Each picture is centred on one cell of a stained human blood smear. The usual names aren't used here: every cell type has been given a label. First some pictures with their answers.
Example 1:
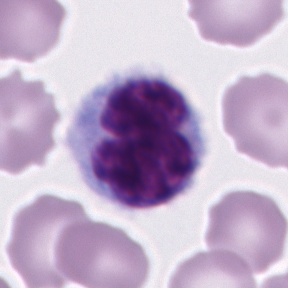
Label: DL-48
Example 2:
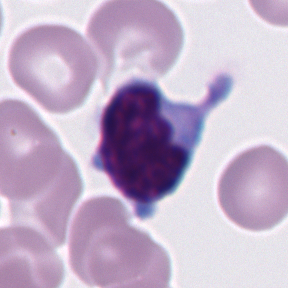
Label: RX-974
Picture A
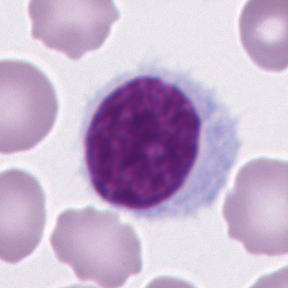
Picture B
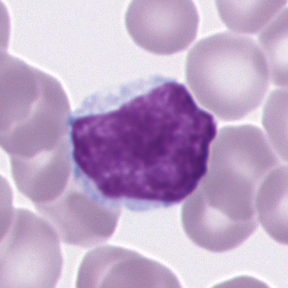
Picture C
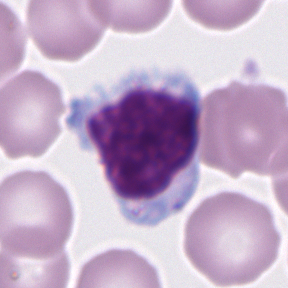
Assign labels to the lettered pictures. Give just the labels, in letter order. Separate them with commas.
DL-48, RX-974, RX-974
